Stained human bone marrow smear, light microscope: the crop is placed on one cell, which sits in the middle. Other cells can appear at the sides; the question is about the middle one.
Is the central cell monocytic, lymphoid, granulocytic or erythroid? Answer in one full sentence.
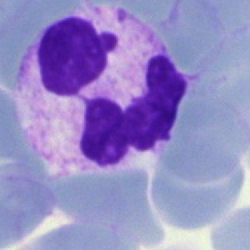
In the crop, the cell at the center is of granulocytic lineage.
